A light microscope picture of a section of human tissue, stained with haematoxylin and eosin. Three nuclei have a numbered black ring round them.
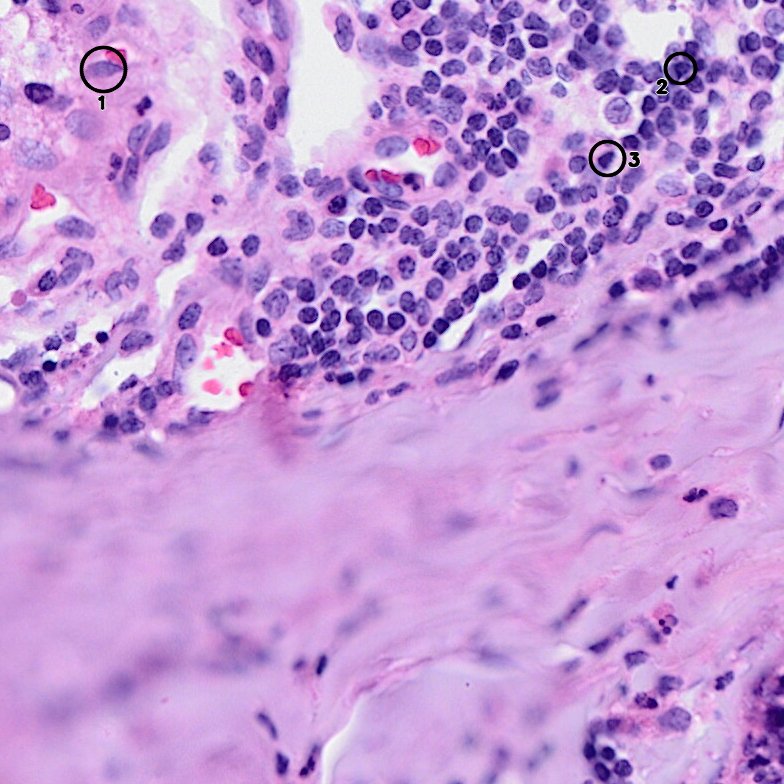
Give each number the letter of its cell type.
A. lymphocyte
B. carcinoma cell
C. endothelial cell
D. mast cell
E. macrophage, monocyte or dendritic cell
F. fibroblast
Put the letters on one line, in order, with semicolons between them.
C; A; A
